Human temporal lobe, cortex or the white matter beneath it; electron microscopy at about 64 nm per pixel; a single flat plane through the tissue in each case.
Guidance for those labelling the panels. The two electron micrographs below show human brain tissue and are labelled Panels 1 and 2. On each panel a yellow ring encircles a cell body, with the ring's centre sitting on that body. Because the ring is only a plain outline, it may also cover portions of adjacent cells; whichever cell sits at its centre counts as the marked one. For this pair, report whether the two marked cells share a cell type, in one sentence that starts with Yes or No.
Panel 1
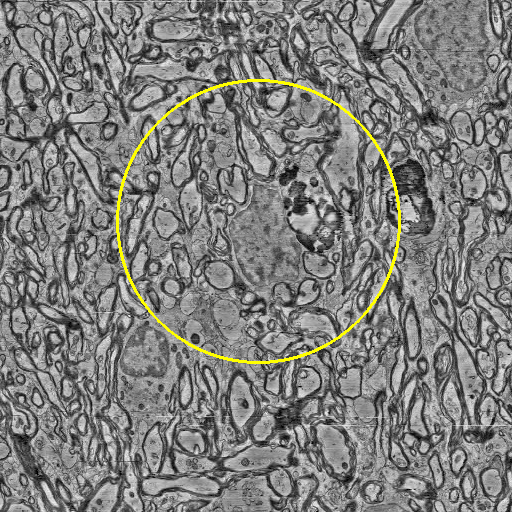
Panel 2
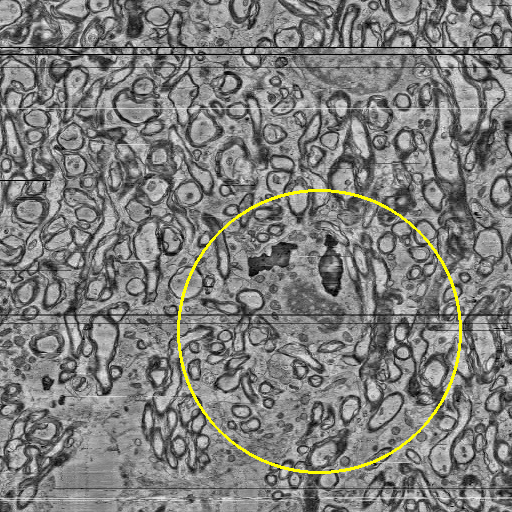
Yes, in Panel 1 and Panel 2 the marked cells at the ring centres share one type.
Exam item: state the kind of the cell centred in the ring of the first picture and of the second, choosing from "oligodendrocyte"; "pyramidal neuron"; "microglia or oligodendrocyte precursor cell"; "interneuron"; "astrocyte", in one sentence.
The second cell is an oligodendrocyte, just as the first is.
